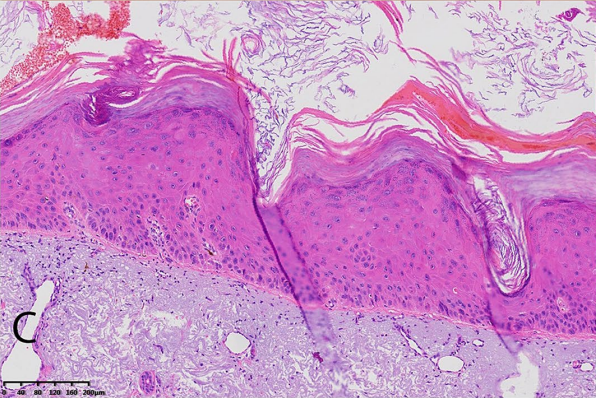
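This section of skin shows an epidermis of keratinocytes that is thickened and stained pink-purple, resting on a pale dermis. The keratinocytes are tightly packed, with many small dark nuclei in the lower layers. The surface keratin dips into the epidermis at places, including one rounded keratin-filled invagination. The underlying dermis is pale with loose fibres and a few small vessels.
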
